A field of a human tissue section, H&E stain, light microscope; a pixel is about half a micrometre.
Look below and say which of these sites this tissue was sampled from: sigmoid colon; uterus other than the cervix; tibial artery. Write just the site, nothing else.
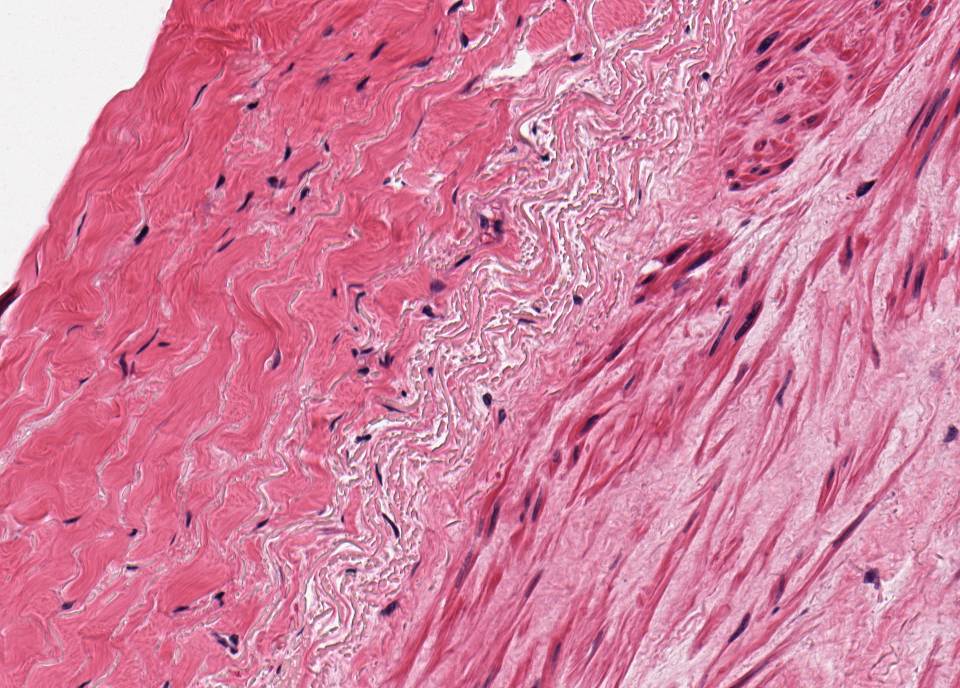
tibial artery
